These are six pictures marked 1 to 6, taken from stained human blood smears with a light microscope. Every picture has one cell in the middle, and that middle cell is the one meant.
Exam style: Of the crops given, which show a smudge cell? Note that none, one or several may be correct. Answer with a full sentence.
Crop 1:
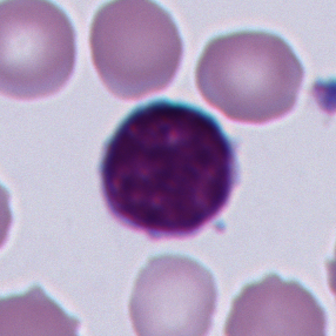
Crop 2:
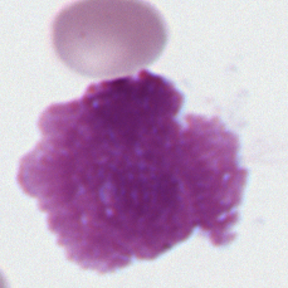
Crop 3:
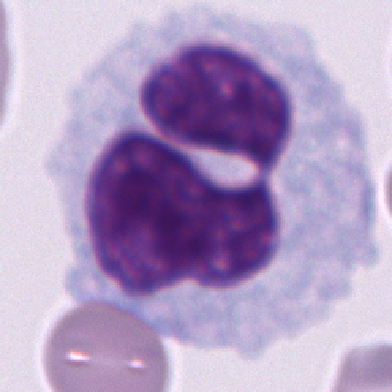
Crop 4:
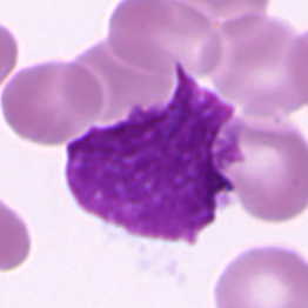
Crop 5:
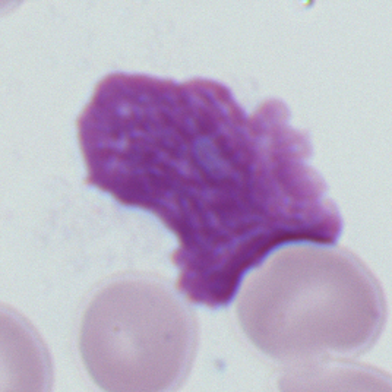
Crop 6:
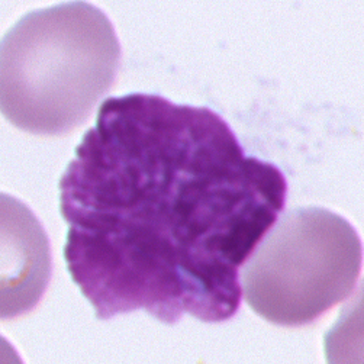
With regard to crops 2, 4, 5 and 6, the central cells are smudge cells.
